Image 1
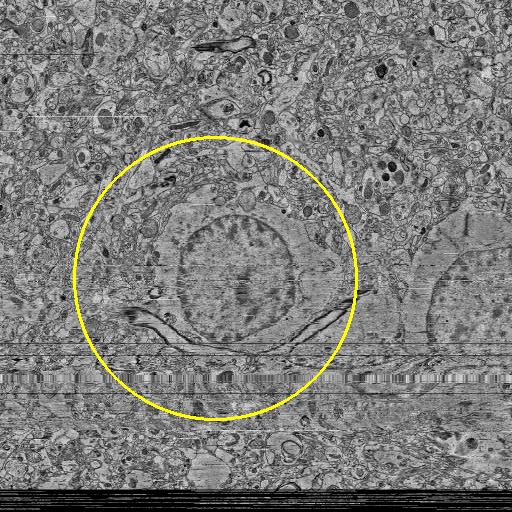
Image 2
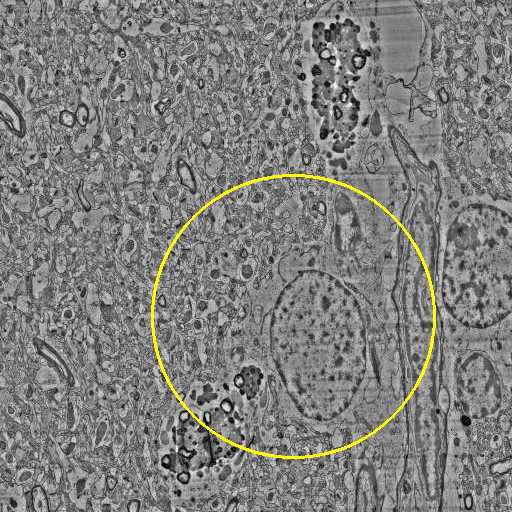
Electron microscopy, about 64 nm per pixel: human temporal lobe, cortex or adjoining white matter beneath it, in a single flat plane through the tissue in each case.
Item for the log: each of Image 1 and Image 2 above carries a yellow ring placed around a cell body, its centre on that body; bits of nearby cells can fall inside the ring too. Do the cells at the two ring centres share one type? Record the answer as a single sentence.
Yes, the two cells at the ring centres in Image 1 and Image 2 share one type.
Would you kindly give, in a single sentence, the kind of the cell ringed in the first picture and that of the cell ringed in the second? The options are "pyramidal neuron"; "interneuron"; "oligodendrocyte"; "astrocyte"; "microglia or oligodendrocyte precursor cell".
The cell in the first picture is an astrocyte, and so is the one in the second.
